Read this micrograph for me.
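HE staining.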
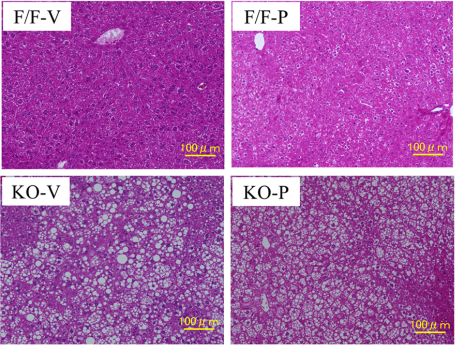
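Four low-power views of liver parenchyma in pink-stained sections. In the upper two, hepatocytes are evenly packed in pink cords around small vessels, with little clearing of the cytoplasm. In the lower two, much of the parenchyma is crowded with round, clear vacuoles of widely varying size, some large enough to fill a hepatocyte, giving a lace-like pattern. One lower field keeps more solid, darker pink areas between the vacuolated zones.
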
